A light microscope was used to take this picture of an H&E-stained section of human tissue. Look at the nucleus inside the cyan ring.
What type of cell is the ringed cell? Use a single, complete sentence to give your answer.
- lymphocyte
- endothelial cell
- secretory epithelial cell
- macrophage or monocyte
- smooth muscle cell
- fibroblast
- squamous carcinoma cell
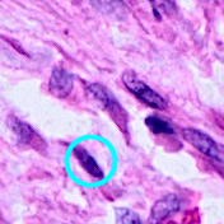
In this preparation, the ringed cell is a fibroblast.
